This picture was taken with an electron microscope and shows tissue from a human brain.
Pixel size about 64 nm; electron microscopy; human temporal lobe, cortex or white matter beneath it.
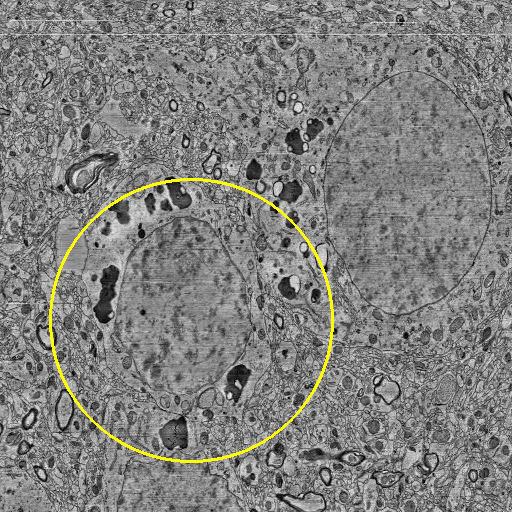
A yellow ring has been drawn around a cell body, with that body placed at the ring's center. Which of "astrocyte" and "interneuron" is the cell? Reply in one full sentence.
In this picture, an interneuron is the cell at the center of the yellow ring.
